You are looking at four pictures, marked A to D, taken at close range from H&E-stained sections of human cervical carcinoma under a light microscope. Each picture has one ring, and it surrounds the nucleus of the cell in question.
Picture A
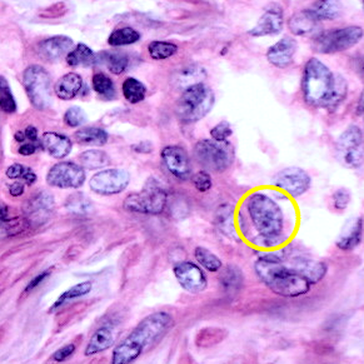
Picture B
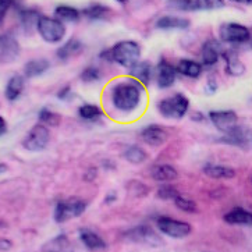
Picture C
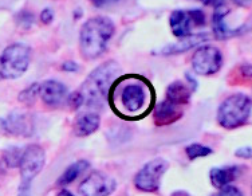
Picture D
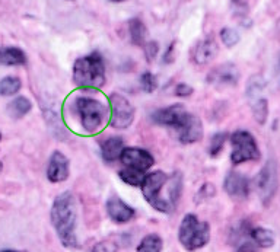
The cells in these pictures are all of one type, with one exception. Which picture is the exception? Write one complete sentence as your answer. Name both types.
The others show lymphocytes, but picture A shows an endothelial cell.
